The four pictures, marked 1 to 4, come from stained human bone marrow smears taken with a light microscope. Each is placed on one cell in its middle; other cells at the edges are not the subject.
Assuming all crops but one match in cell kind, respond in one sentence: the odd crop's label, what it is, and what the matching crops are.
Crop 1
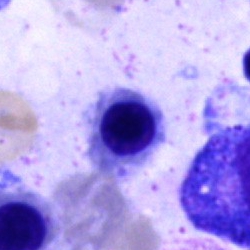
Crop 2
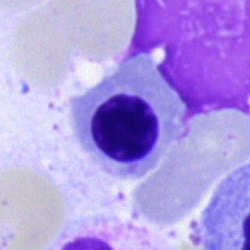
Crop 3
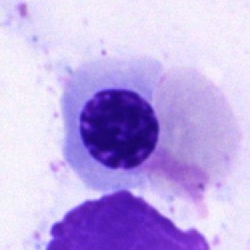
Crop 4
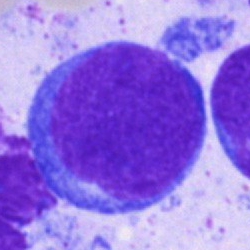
The odd one out is crop 4, a blast, and all other crops show erythroblasts.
